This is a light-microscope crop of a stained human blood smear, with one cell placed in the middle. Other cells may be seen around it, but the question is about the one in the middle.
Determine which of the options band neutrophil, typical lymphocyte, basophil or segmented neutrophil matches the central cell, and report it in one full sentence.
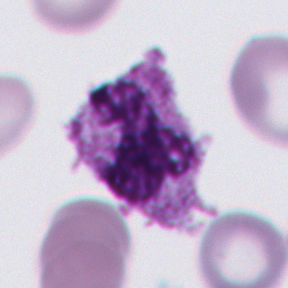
The cell at the middle of the crop is recognized as a basophil.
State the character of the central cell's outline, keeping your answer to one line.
Instead of a smooth edge, this cell has an irregular one, ragged or with projections.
